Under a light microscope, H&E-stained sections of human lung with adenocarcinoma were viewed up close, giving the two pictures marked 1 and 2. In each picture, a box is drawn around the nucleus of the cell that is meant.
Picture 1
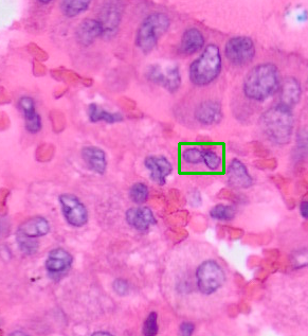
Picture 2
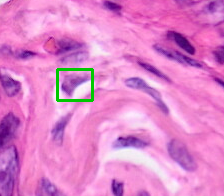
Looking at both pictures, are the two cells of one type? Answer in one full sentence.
No, they differ: the cell is a “macrophage or monocyte” in picture 1 and a fibroblast in picture 2.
